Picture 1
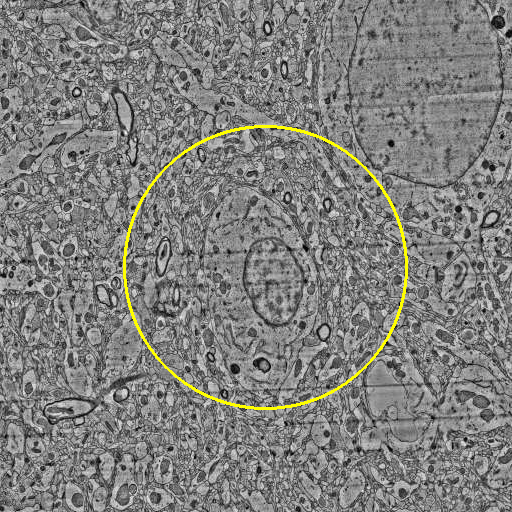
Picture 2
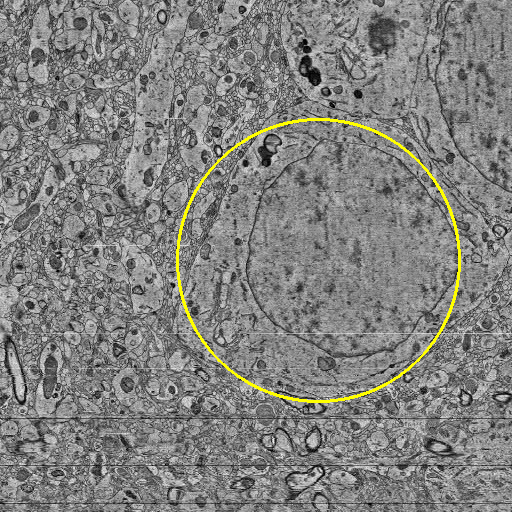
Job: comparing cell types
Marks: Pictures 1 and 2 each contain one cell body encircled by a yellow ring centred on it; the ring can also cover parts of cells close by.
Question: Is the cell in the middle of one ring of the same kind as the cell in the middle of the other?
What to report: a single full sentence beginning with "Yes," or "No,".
Yes, the cell at the ring centre in Picture 1 and its partner in Picture 2 are of one kind.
